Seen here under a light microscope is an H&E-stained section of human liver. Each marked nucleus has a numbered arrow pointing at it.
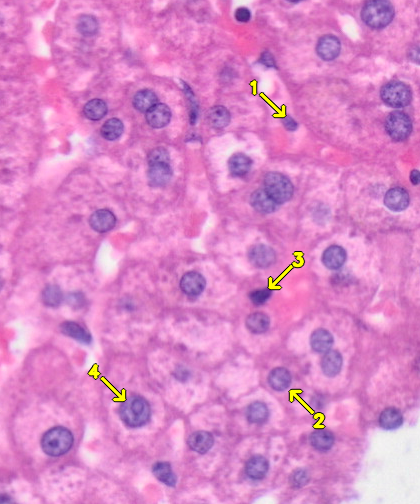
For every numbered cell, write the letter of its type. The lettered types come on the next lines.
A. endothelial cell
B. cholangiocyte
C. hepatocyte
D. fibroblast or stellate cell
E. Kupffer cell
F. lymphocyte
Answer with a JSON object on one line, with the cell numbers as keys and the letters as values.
{"1": "F", "2": "C", "3": "D", "4": "C"}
